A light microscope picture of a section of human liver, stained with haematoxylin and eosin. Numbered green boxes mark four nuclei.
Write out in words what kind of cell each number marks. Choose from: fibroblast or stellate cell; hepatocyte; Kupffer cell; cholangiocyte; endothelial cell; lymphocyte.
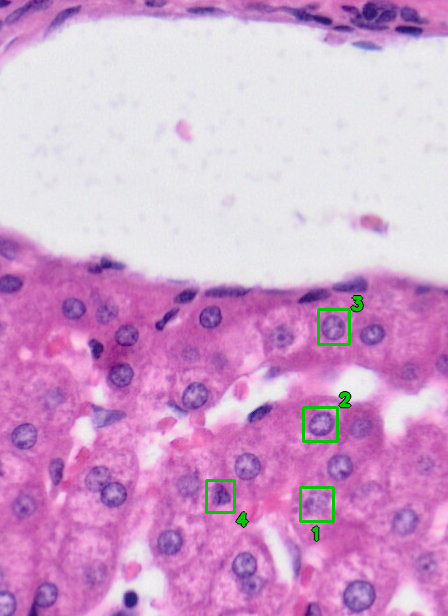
Cells 1, 2 and 3 are hepatocytes. Cell 4 is a fibroblast or stellate cell.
